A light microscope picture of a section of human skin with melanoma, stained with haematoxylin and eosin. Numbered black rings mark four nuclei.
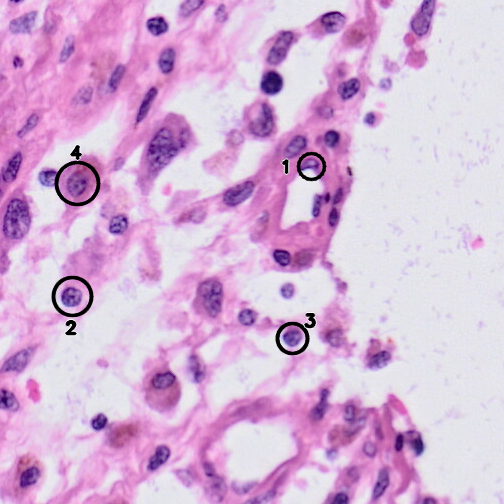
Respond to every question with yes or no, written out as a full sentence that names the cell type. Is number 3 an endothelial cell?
No, the cell at number 3 is a lymphocyte instead of an endothelial cell.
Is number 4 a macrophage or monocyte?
Yes, correct, the cell with the number 4 is a macrophage or monocyte.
